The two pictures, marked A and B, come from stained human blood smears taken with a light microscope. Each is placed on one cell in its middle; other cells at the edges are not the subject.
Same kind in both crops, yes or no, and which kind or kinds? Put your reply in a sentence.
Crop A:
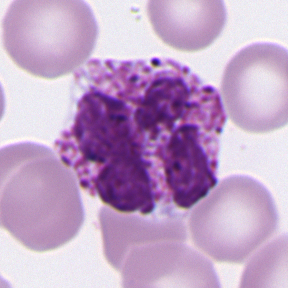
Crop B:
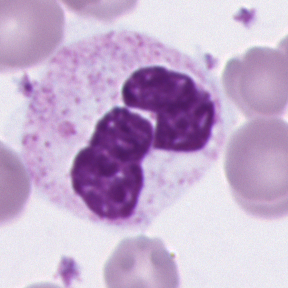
No, crop A and crop B contain, respectively, a basophil and a segmented neutrophil.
